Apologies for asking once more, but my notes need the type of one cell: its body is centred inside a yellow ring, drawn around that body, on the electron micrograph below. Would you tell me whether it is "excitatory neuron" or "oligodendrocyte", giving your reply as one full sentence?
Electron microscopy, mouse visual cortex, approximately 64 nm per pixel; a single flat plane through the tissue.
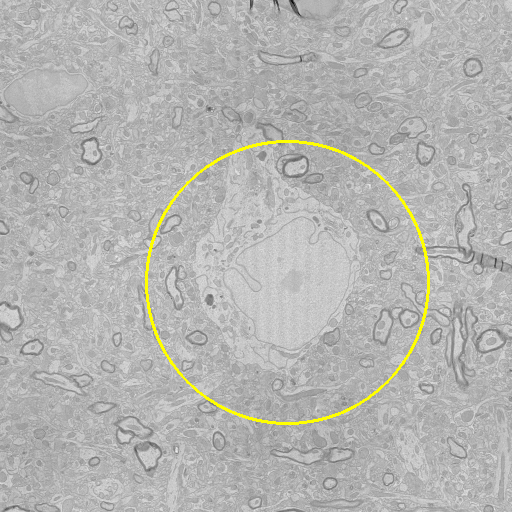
The cell that the yellow ring is centred on is an excitatory neuron in this micrograph.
